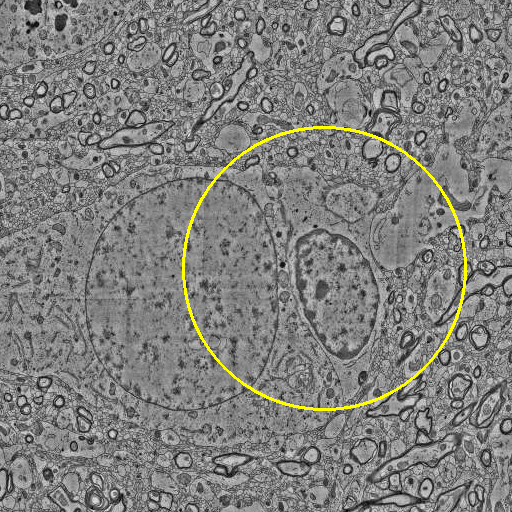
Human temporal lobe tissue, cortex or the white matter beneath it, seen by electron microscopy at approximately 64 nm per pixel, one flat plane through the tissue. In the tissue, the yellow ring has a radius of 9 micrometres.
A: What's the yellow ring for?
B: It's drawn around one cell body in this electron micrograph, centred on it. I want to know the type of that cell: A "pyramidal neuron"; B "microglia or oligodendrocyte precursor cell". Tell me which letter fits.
B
